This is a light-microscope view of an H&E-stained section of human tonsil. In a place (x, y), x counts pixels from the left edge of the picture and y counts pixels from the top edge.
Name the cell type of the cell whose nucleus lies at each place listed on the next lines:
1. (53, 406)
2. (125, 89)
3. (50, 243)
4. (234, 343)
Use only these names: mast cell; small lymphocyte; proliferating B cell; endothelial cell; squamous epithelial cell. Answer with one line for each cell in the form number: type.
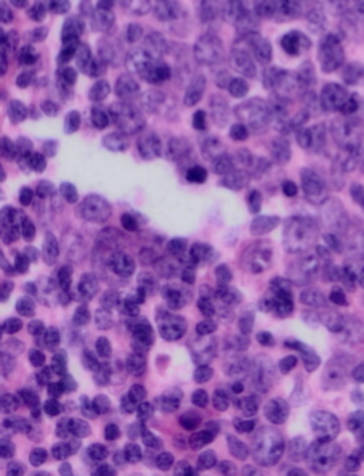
1: small lymphocyte
2: proliferating B cell
3: proliferating B cell
4: proliferating B cell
